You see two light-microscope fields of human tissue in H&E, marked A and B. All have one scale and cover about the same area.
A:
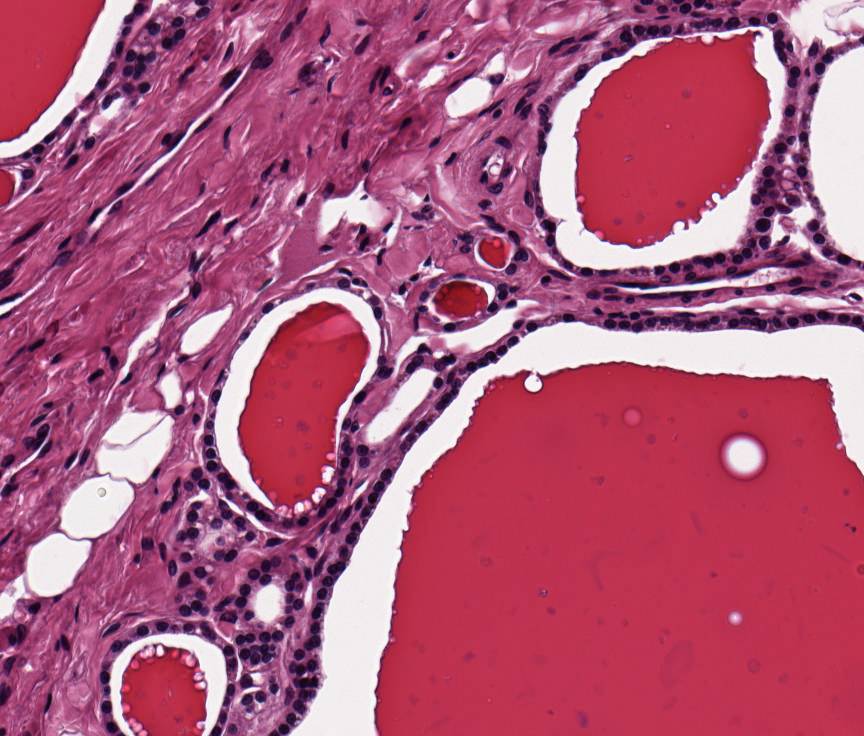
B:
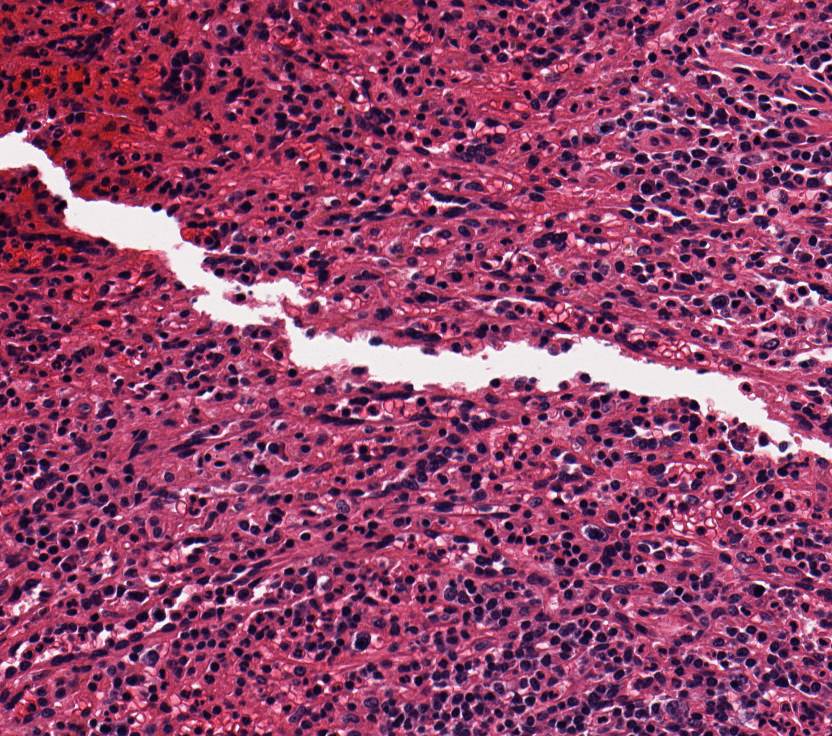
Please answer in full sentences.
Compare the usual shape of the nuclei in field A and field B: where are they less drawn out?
On the whole the nuclei of field B are rounder than those of field A.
